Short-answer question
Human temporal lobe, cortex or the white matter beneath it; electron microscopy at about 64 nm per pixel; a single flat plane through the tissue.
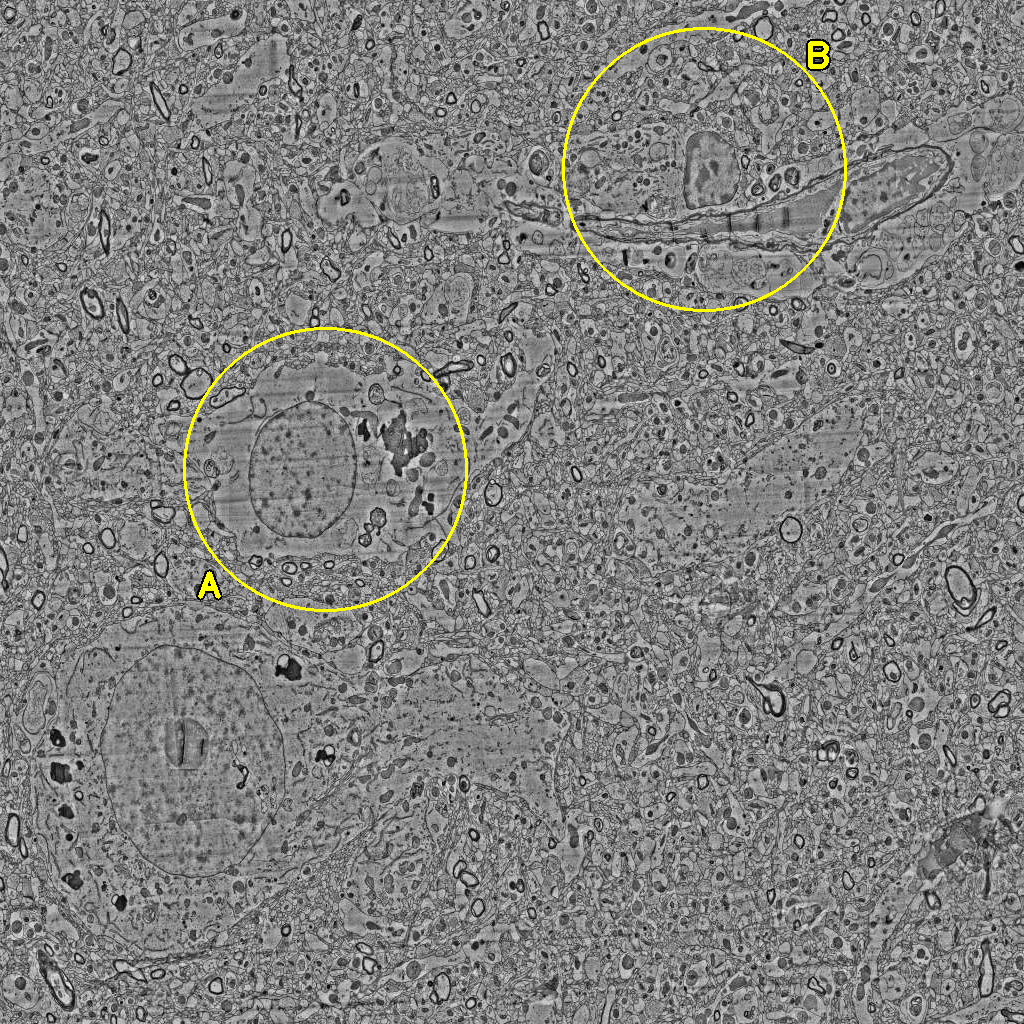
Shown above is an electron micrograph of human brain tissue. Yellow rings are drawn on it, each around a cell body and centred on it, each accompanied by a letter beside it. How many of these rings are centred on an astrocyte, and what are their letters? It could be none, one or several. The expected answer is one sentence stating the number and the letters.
One ring, and only one, is centred on an astrocyte, and it carries the letter A.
